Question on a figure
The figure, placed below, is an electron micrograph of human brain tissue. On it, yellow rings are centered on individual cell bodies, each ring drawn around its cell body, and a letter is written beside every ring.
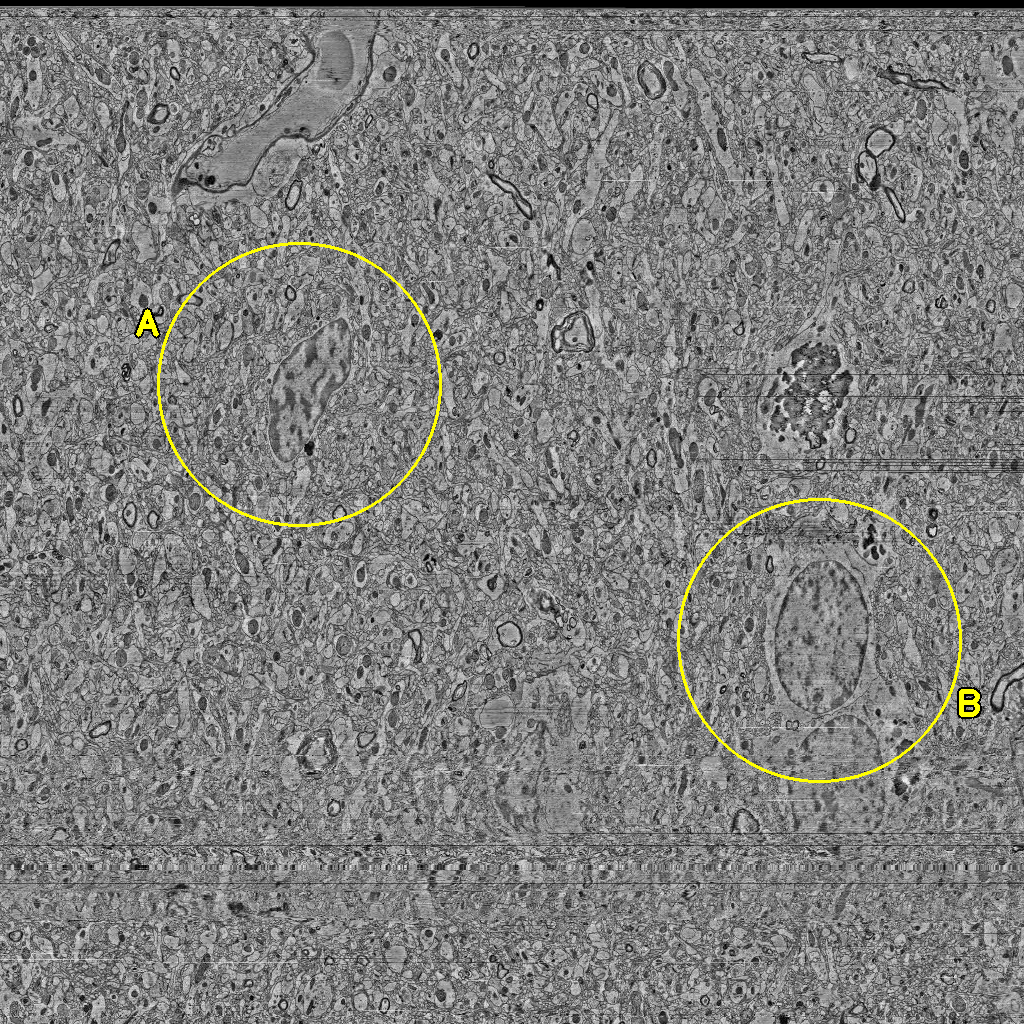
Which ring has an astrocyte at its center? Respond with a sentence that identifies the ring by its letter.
The ring marked B has it at its center.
